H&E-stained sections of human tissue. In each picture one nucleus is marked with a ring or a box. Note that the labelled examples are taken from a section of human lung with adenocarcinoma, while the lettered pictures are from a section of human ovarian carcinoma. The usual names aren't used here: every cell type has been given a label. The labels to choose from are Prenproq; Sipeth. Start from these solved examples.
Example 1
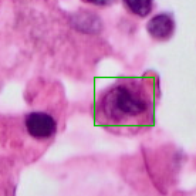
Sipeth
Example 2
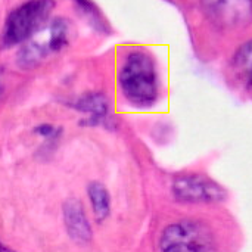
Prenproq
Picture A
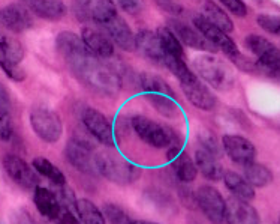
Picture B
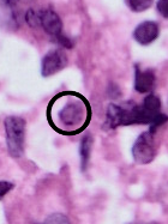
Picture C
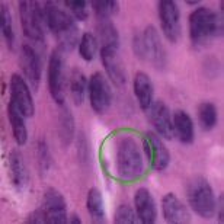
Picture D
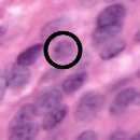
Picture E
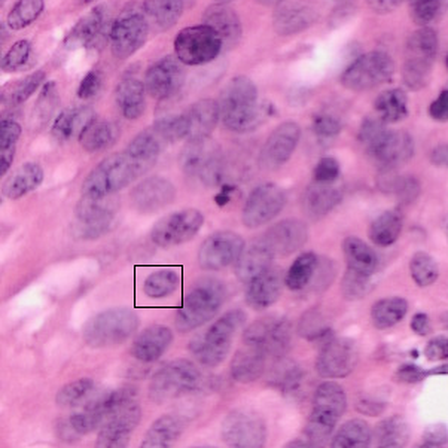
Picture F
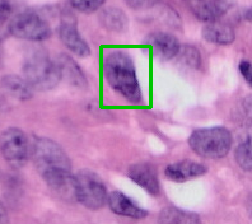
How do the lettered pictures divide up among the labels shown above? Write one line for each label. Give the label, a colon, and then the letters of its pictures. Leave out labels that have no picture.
Prenproq: A, B, C, F
Sipeth: D, E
